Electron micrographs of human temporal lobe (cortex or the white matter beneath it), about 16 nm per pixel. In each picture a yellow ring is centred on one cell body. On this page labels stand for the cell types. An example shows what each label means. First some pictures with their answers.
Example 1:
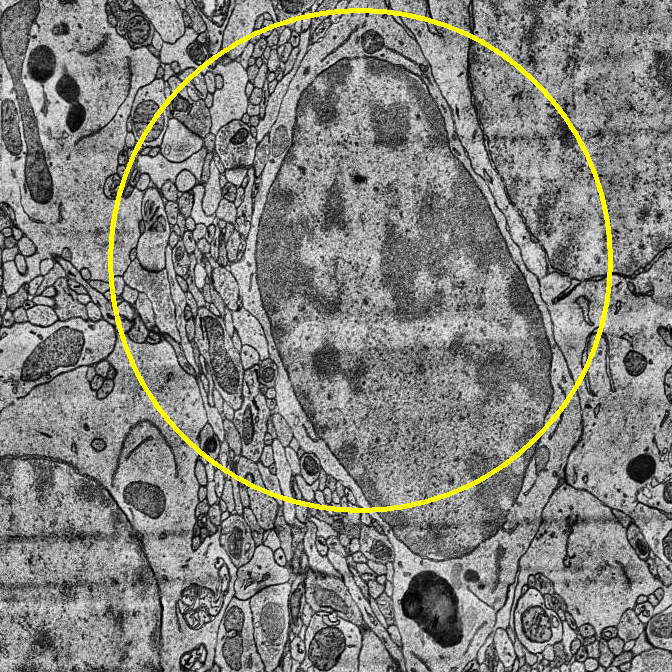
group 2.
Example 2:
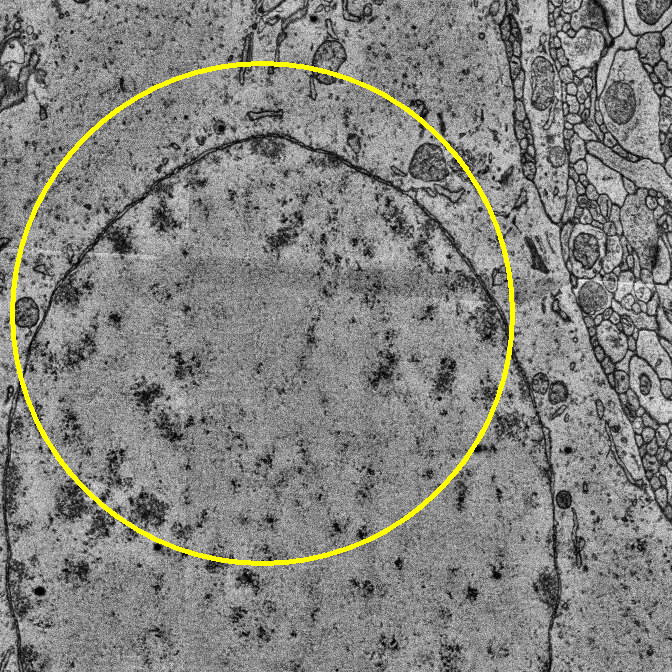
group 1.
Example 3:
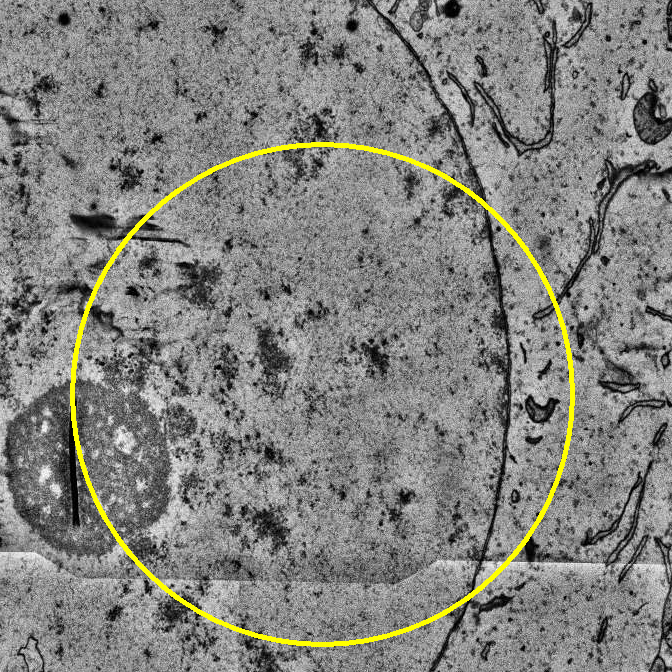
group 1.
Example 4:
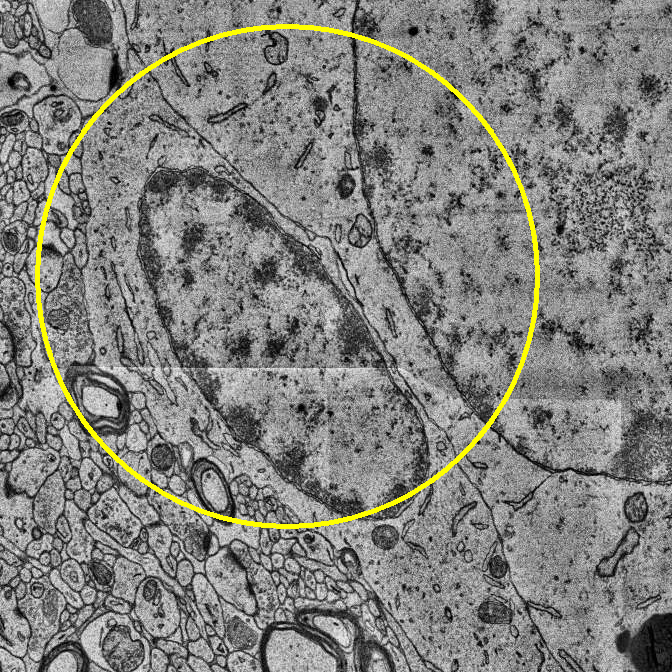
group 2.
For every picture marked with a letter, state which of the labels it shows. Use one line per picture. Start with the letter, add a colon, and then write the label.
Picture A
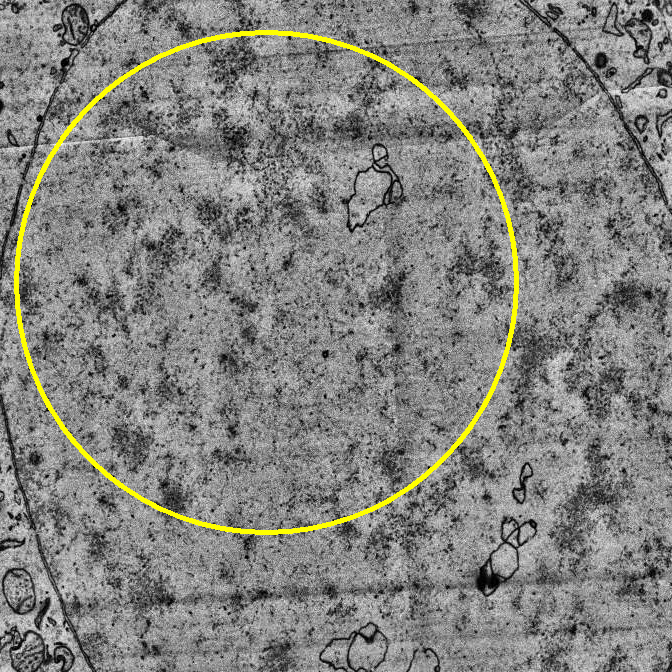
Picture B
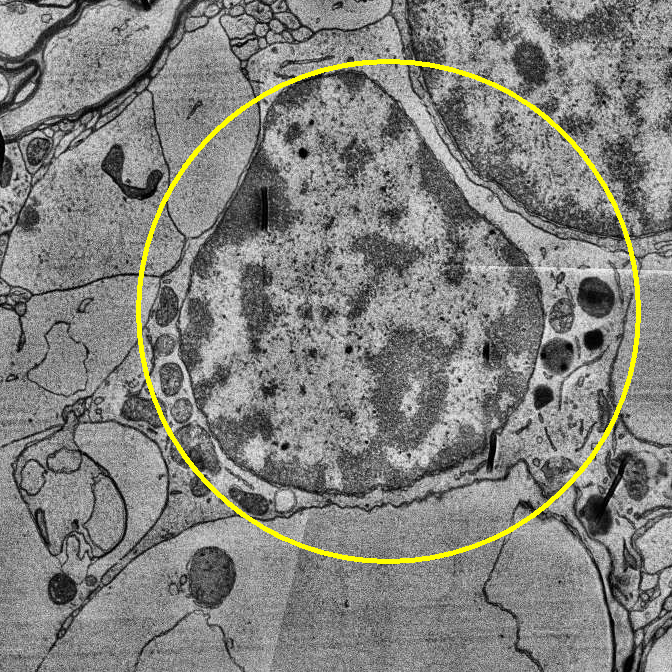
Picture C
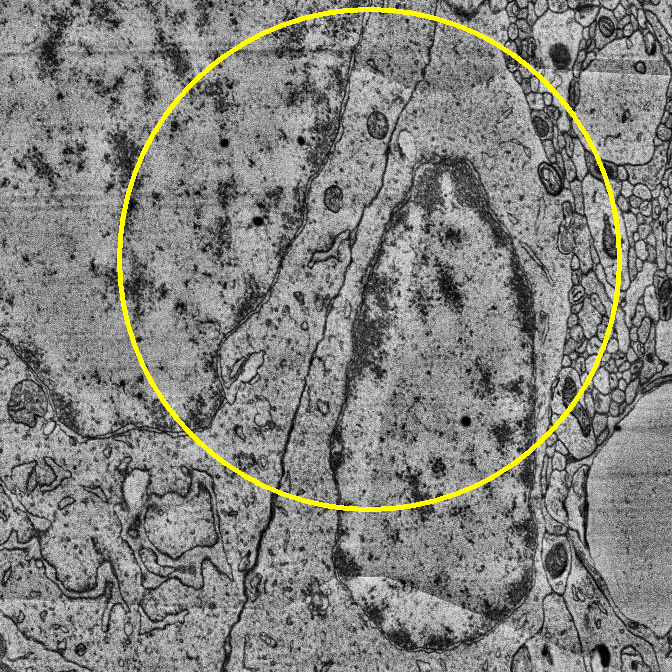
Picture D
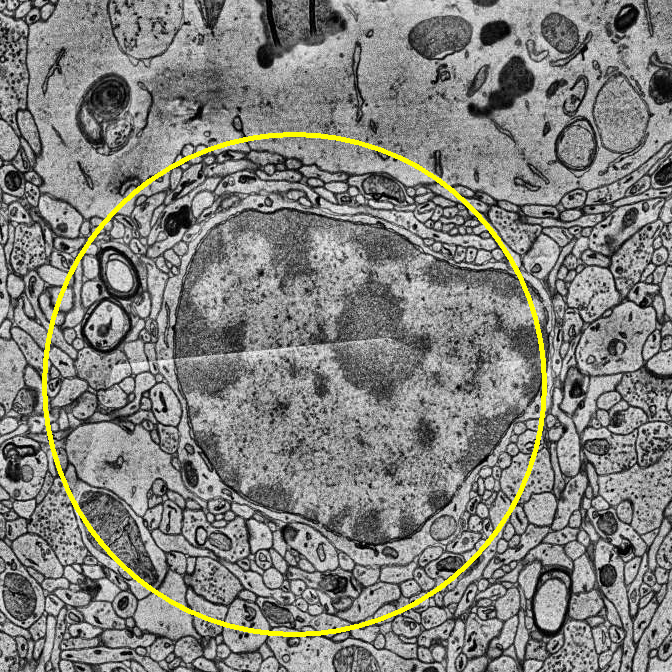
A: group 1.
B: group 2.
C: group 2.
D: group 2.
